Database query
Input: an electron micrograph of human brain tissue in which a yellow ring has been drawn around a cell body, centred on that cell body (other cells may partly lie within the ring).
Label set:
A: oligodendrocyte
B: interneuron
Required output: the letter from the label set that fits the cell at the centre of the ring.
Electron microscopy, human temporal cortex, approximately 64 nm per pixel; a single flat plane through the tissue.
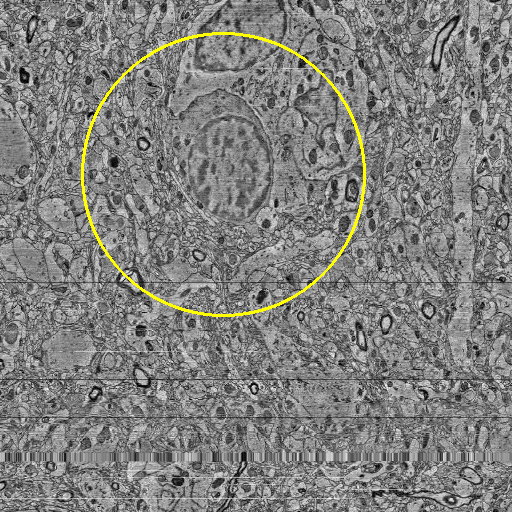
A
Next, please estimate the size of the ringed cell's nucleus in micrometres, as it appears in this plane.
About 7 micrometres by about 5 micrometres in this plane.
